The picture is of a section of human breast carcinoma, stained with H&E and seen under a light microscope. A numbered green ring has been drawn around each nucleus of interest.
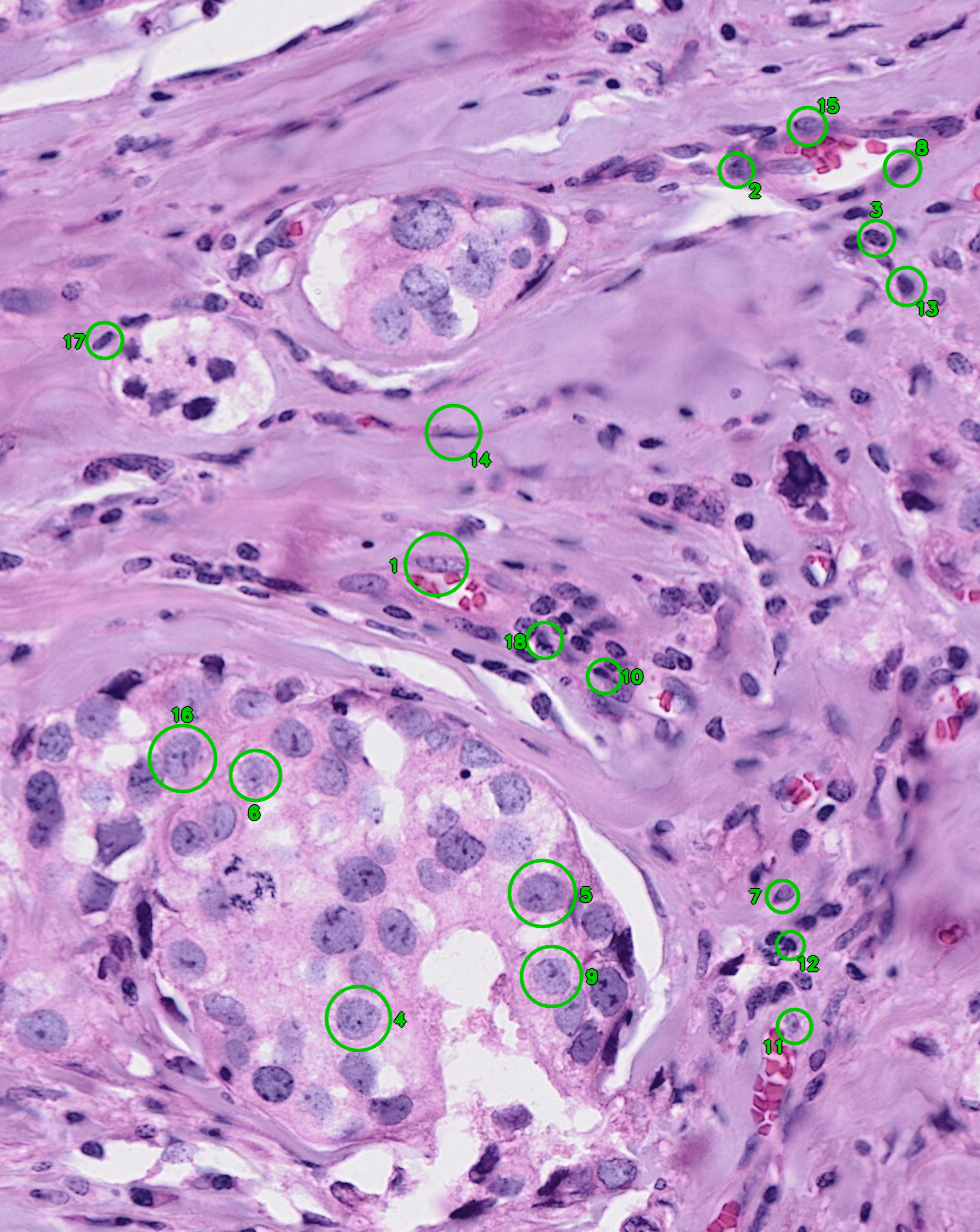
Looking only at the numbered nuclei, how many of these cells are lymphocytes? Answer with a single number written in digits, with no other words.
7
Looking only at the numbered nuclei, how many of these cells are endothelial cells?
5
